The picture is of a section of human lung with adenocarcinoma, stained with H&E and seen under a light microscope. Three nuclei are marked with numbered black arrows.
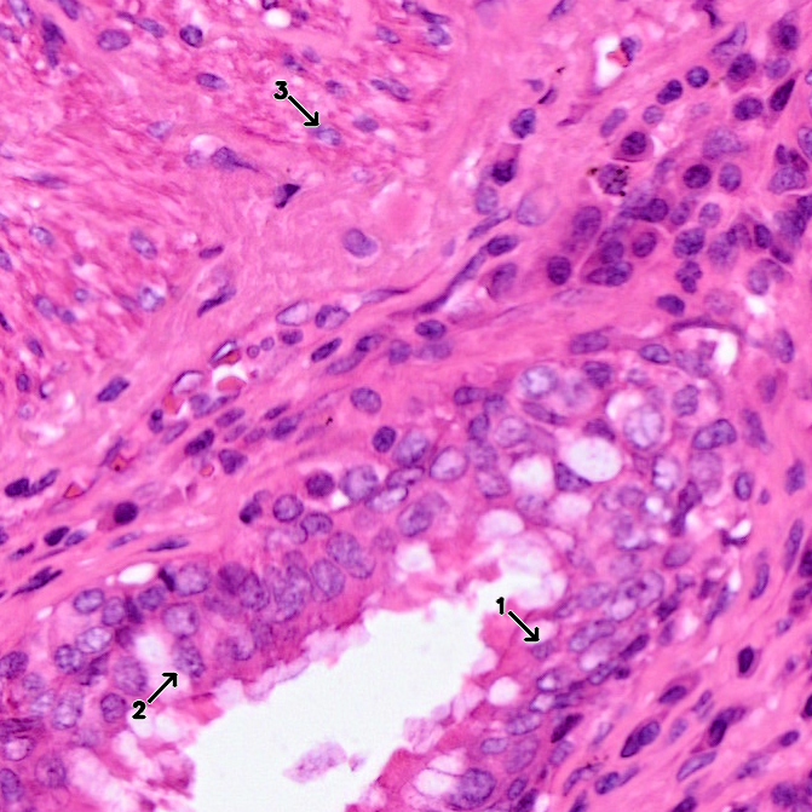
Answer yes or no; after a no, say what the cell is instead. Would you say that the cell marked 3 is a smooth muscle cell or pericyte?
Yes.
